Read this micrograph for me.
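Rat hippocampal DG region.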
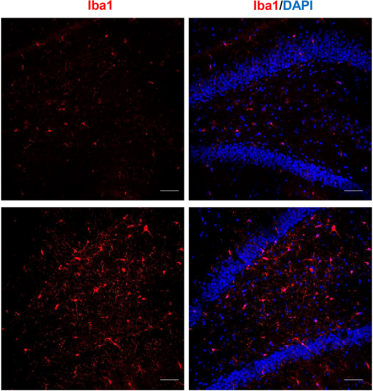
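The blue nuclei crowd together into curved, densely packed bands of small round neurons, with looser tissue between and around them. The red microglial cells have small cell bodies from which several thin, branching processes radiate, giving each a spidery, ramified look. They are spread out singly through the tissue, mostly in the spaces around the dense cell bands rather than inside them. In the lower pair of images the red cells are more numerous and their processes stand out more brightly than in the upper pair.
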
